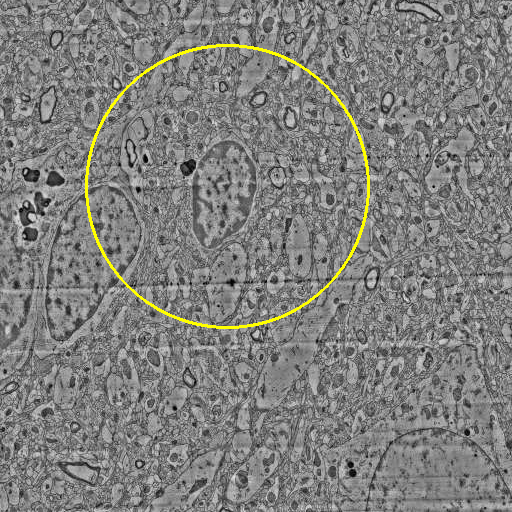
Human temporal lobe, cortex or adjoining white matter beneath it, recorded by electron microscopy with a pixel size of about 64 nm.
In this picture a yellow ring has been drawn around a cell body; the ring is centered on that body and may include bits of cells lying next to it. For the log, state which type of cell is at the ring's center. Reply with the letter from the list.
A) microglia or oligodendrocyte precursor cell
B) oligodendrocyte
A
